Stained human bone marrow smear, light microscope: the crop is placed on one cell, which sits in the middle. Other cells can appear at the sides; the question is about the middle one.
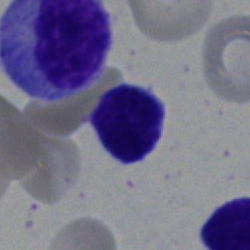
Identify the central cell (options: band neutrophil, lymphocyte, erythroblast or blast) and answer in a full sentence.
The centrally positioned cell in the crop represents a lymphocyte.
